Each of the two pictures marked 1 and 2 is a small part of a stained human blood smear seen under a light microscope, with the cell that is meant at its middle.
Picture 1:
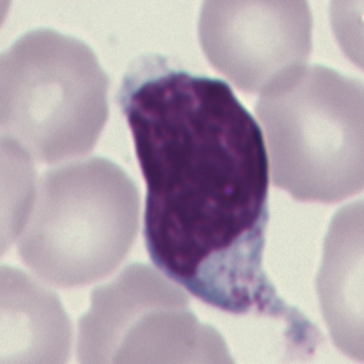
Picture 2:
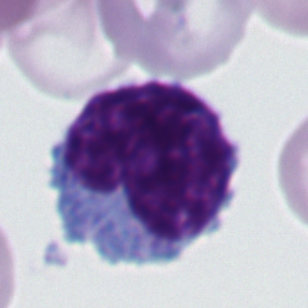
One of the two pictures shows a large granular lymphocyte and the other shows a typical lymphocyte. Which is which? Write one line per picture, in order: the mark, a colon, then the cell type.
1: large granular lymphocyte
2: typical lymphocyte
